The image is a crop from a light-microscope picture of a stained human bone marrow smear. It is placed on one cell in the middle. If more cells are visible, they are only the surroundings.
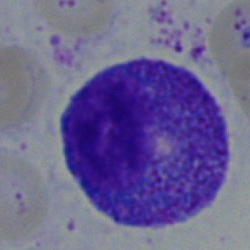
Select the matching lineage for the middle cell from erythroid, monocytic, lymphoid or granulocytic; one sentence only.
It is of the granulocytic lineage that the central cell is a member.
